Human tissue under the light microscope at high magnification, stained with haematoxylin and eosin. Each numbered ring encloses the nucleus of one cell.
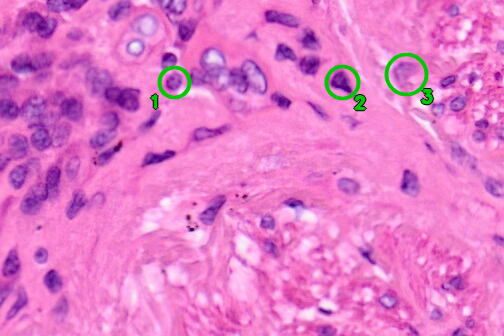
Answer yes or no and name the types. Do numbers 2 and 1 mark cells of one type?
No, cell 2 is a plasma cell, and as for cell 1, it is a mast cell.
